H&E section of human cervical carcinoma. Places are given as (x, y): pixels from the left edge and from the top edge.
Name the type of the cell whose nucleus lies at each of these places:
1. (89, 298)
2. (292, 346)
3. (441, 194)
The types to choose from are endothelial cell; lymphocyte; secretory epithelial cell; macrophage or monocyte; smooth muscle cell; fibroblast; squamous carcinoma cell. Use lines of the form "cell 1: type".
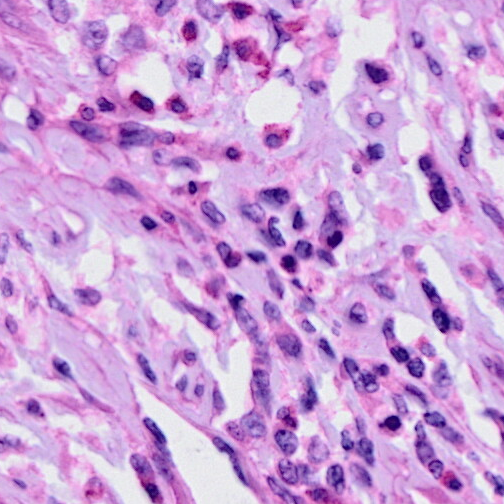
cell 1: macrophage or monocyte
cell 2: macrophage or monocyte
cell 3: lymphocyte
